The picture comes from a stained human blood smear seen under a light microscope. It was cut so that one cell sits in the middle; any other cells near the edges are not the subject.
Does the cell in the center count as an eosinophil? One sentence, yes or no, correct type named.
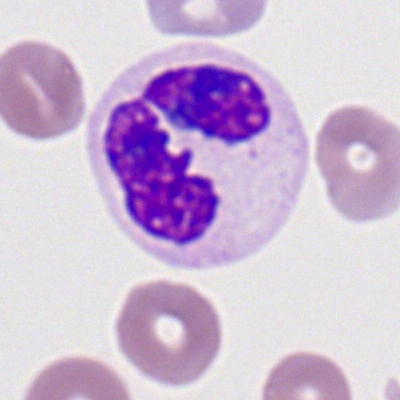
No, the cell in the middle is categorised as a neutrophil, not an eosinophil.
